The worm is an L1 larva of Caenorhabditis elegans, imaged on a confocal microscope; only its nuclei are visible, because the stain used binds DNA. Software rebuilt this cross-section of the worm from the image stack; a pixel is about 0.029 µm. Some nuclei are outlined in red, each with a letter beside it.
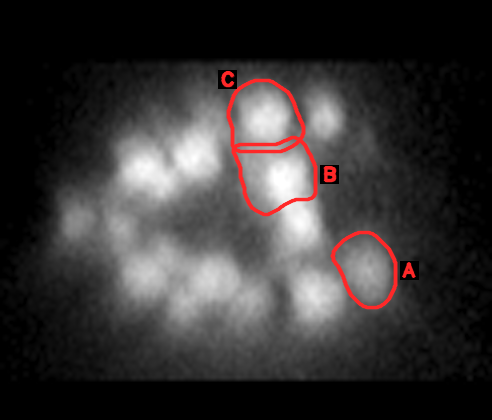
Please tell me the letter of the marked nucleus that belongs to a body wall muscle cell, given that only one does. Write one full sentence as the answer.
Of the marked nuclei, A is the one in a body wall muscle cell.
